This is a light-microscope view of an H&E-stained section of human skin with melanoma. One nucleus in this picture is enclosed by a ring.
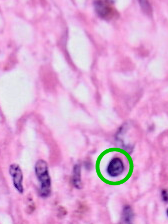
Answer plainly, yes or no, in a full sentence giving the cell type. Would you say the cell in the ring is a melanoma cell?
No, the cell in the ring is a lymphocyte, and it is not a melanoma cell.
